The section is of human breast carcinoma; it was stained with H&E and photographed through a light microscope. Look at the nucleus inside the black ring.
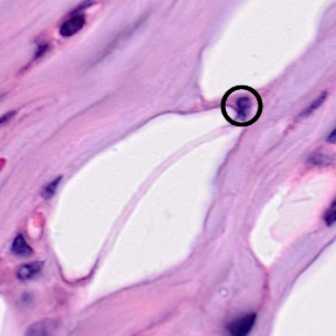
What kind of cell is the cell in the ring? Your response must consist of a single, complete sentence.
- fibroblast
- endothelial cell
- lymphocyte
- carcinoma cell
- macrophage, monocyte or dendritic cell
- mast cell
Cell type answer for this item: the cell in the ring is a fibroblast.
